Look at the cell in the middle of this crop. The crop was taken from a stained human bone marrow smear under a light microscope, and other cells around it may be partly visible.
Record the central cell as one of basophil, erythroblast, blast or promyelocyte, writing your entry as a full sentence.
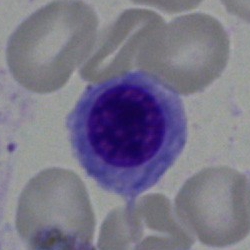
The central cell in this smear crop is an erythroblast.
